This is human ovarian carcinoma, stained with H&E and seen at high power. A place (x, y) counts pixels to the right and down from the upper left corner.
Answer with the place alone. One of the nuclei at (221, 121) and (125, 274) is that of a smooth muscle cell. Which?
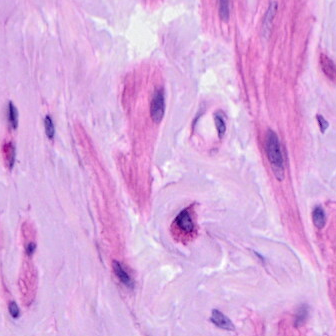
(125, 274)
